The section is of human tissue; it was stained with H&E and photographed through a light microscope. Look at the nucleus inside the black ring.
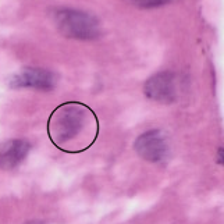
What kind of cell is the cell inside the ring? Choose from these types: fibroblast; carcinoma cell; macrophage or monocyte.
fibroblast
